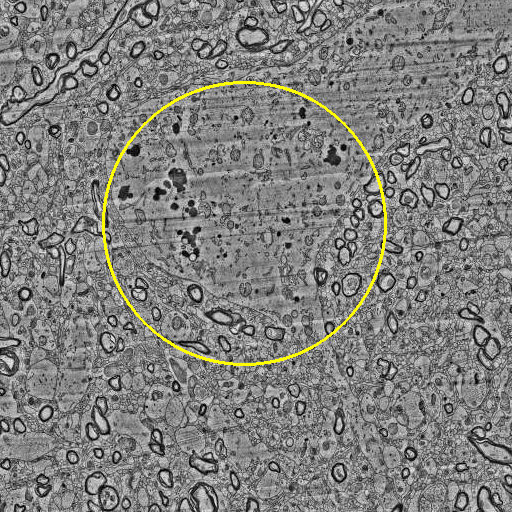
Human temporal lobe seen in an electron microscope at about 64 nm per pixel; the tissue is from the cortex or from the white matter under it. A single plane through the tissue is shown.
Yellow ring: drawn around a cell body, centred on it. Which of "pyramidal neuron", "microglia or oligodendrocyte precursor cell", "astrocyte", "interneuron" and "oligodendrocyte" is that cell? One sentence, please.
That cell body is from an oligodendrocyte.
